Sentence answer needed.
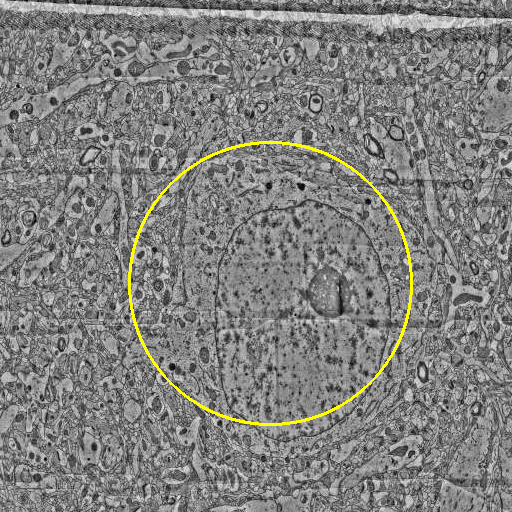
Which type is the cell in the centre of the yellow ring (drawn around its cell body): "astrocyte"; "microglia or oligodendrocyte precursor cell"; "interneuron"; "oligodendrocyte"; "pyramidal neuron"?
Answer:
In the centre of the yellow ring is a pyramidal neuron.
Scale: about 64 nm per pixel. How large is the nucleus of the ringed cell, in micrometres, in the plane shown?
About 15 by 11 micrometers for the nucleus, in this plane.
